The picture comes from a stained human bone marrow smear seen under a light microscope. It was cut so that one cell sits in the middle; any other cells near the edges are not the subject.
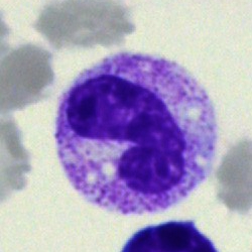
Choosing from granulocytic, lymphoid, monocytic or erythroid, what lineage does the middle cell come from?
granulocytic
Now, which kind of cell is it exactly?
band neutrophil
